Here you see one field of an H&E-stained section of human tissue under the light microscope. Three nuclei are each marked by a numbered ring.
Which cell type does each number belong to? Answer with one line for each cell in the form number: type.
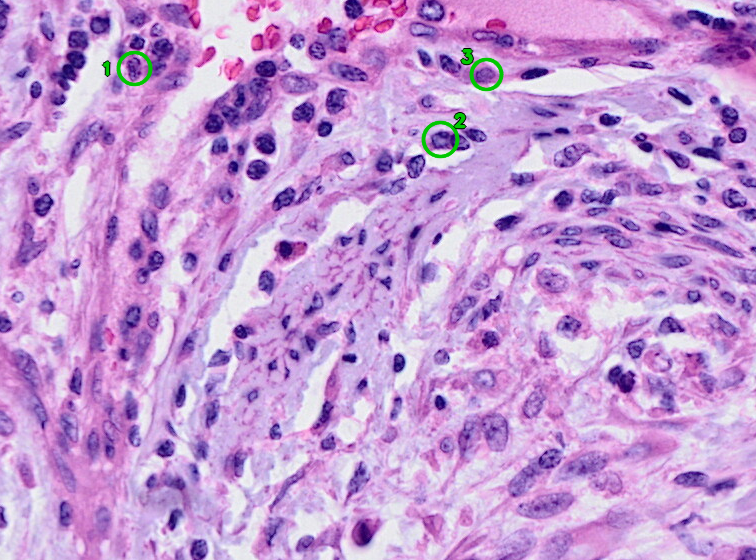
1: lymphocyte
2: lymphocyte
3: macrophage or monocyte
